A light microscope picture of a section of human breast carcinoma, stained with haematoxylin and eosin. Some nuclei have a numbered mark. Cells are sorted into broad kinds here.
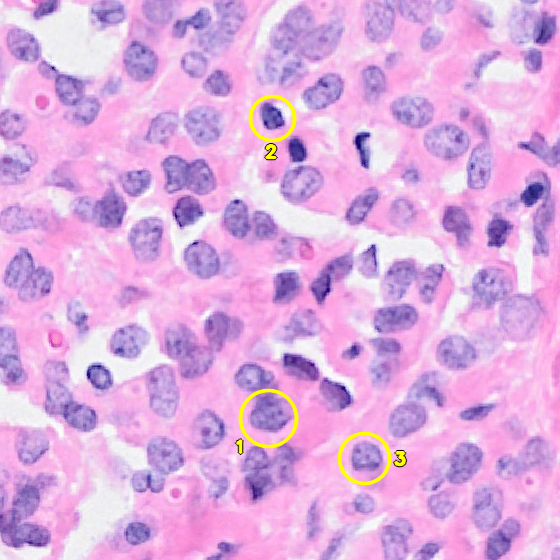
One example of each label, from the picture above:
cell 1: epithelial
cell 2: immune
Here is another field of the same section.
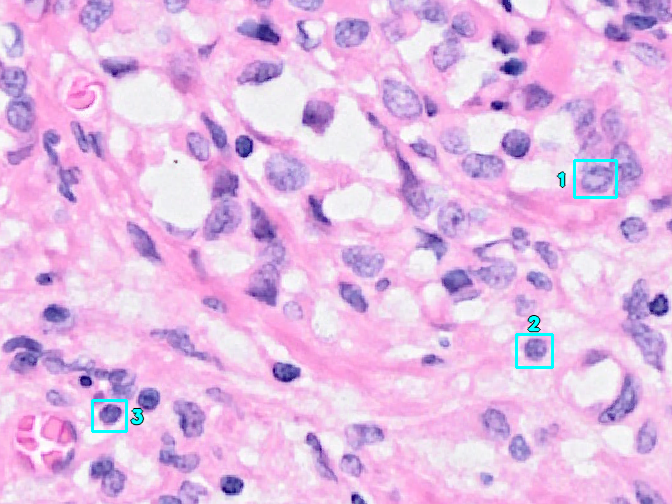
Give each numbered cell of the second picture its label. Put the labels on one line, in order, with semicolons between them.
epithelial; immune; immune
